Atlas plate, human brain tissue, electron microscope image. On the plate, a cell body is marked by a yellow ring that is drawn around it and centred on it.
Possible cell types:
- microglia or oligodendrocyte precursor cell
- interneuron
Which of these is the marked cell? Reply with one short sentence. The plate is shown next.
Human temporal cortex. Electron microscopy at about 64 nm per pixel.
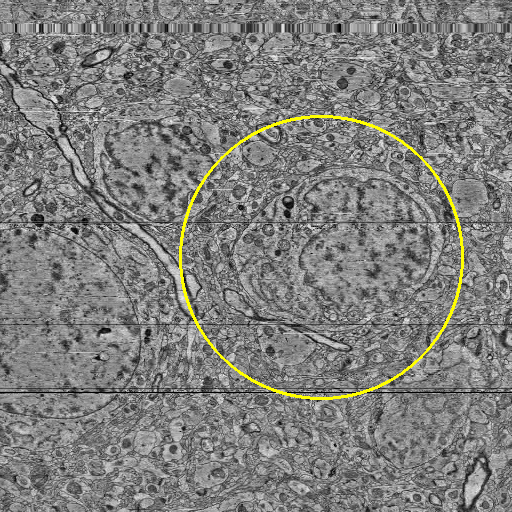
The marked cell is an interneuron.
